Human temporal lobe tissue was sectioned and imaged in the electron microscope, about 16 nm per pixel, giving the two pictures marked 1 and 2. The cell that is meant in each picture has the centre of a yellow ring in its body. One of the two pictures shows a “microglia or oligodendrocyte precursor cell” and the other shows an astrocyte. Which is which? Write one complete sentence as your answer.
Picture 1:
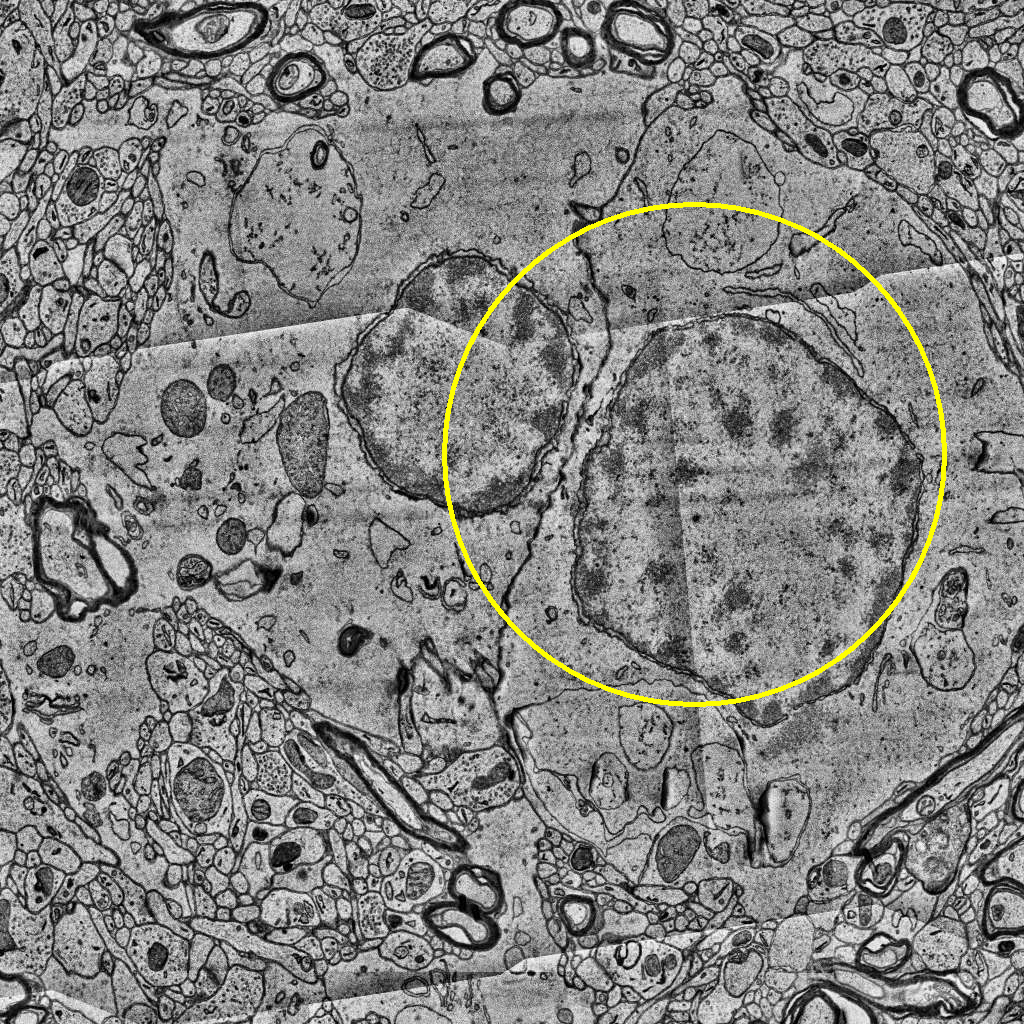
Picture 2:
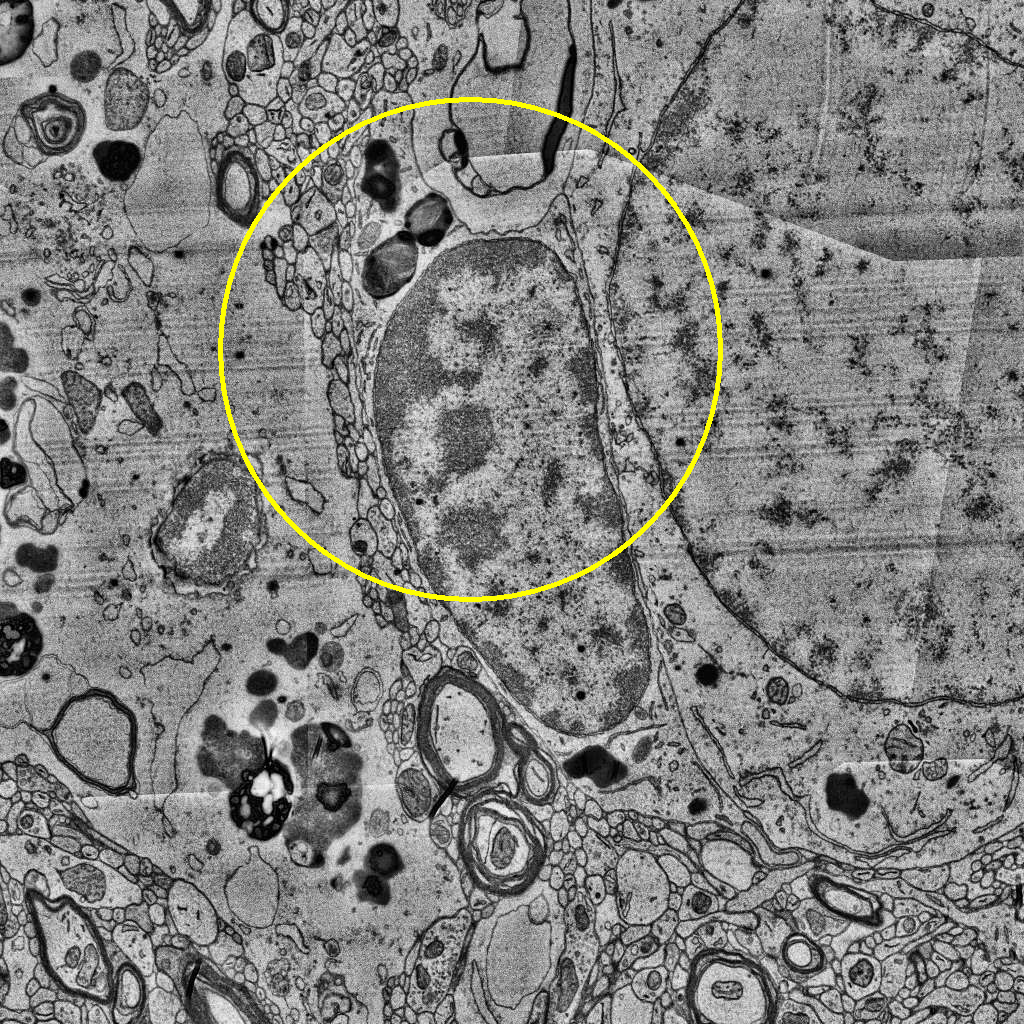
In picture 1 the cell is an astrocyte; in picture 2, a “microglia or oligodendrocyte precursor cell”.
